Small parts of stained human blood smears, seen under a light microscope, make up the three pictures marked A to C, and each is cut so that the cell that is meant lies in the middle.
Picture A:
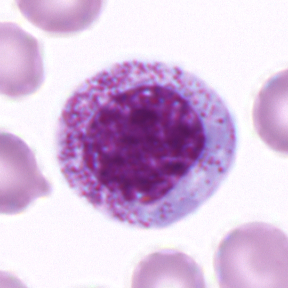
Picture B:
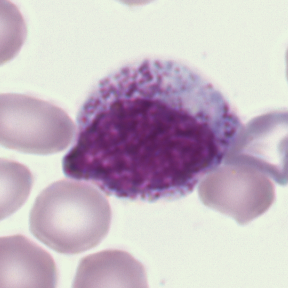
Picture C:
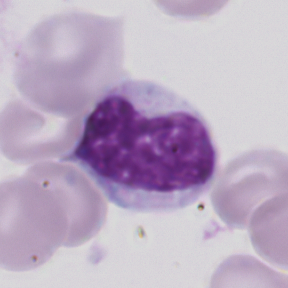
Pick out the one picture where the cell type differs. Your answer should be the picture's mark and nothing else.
C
